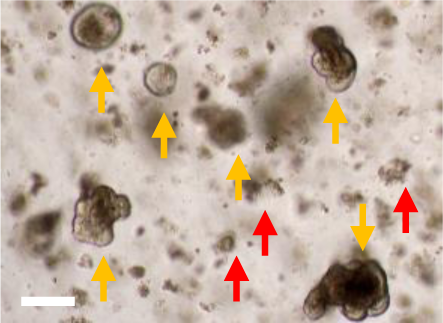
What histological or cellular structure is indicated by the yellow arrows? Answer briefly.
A: organoids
